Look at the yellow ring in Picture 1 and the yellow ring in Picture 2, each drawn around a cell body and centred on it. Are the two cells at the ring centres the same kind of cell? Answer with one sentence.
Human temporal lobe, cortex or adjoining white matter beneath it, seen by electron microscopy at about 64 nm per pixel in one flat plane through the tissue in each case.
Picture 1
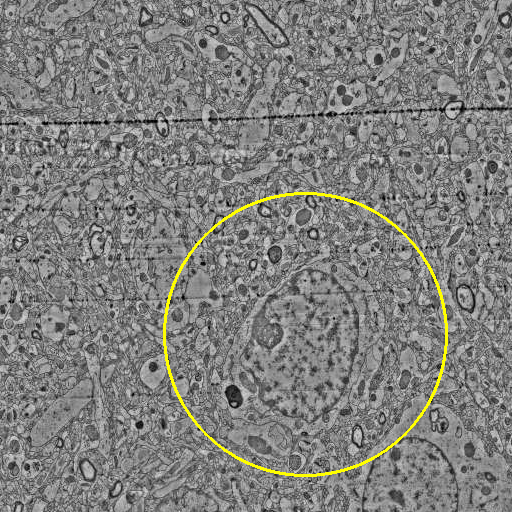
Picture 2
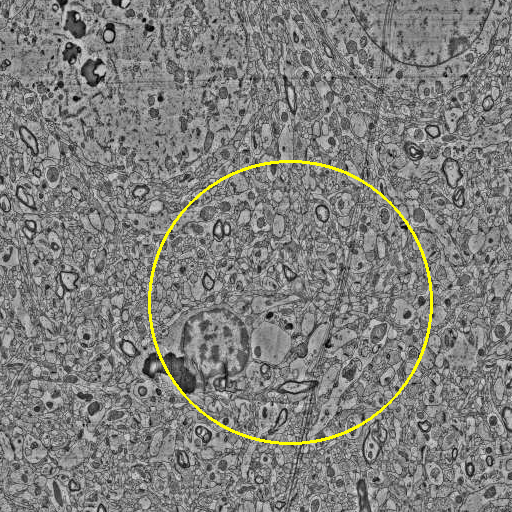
No, they are cells of two kinds.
